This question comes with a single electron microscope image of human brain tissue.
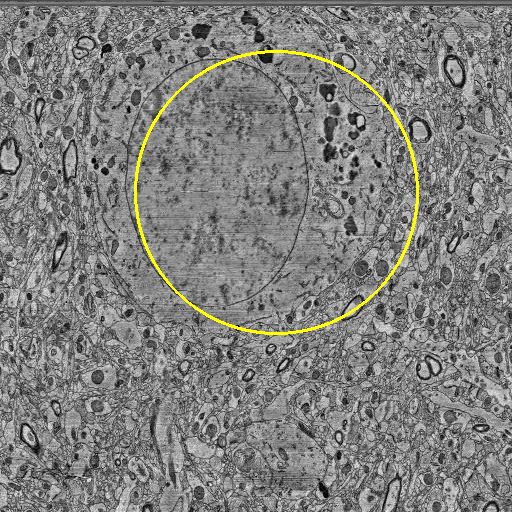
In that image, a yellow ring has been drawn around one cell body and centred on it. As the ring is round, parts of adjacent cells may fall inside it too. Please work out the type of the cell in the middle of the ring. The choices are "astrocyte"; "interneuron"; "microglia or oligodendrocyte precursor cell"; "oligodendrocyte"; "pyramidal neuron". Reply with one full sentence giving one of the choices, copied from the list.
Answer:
Of the choices, a pyramidal neuron is the cell sitting in the middle of the ring.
